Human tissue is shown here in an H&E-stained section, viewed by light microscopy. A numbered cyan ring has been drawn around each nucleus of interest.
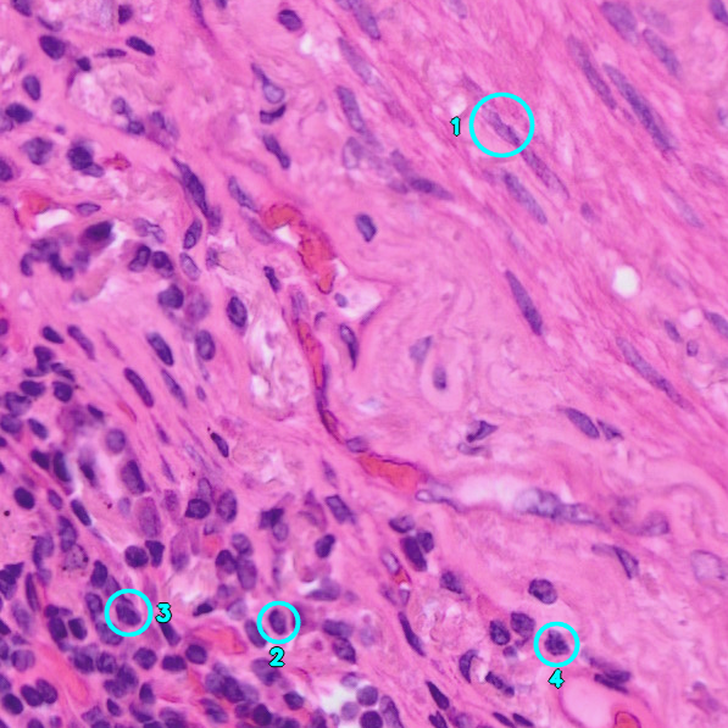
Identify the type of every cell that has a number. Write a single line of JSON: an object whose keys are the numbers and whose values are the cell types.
{"1": "smooth muscle cell or pericyte", "2": "lymphocyte", "3": "lymphocyte", "4": "lymphocyte"}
